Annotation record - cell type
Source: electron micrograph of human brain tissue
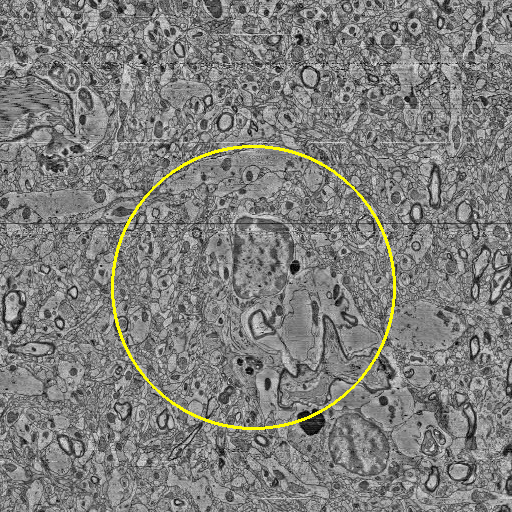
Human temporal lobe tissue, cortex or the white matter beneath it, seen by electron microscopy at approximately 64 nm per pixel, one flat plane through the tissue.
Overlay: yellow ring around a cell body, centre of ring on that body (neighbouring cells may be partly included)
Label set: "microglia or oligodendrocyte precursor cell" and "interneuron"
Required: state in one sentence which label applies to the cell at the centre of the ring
This cell should be labelled as a microglial cell or oligodendrocyte precursor cell.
